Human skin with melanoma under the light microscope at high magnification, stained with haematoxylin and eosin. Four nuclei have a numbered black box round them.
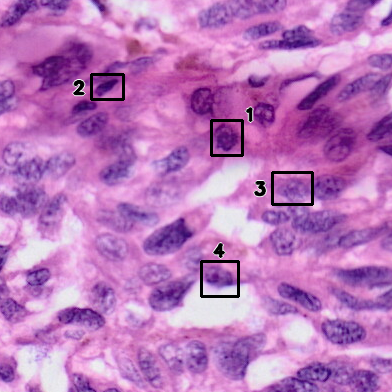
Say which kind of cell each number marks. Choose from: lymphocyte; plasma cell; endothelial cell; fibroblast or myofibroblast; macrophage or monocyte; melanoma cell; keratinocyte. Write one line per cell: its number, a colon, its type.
1: melanoma cell
2: lymphocyte
3: melanoma cell
4: melanoma cell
